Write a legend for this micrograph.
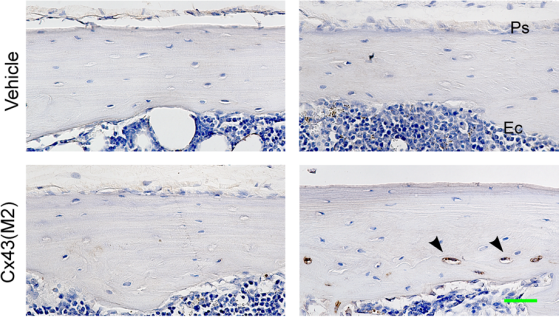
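These views show cortical bone with osteocytes embedded in the matrix. Each image crosses a wide band of pale, homogeneous bone with fine lamellar lines. Small elongated cells lie within lacunae, oriented along the length of the bone; most show only a small blue nucleus, while a few in one of the views are stained dark brown. The outer surface of the bone is a thin smooth edge, and on the opposite side lies the marrow, a dense crowd of small round cells with dark blue nuclei, with an occasional empty fat space.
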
